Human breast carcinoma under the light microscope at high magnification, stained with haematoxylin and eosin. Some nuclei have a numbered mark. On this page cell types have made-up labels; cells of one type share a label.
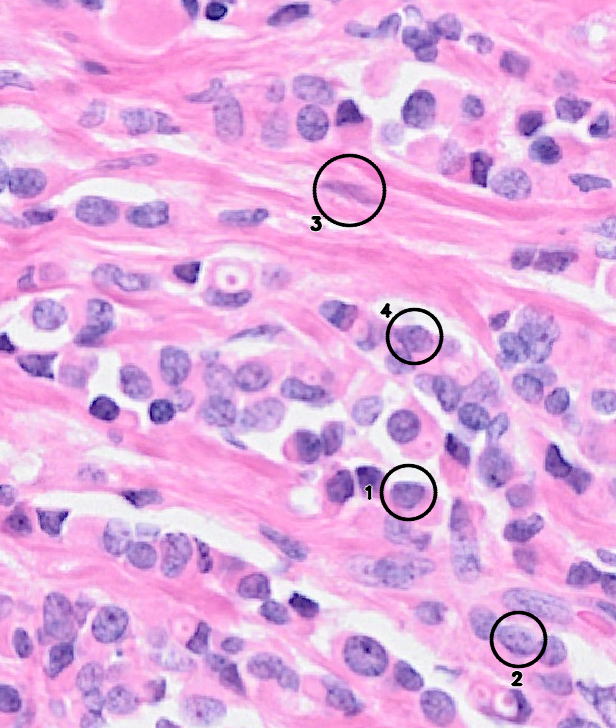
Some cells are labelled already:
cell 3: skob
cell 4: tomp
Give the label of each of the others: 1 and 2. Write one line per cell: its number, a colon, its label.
1: tomp
2: tomp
